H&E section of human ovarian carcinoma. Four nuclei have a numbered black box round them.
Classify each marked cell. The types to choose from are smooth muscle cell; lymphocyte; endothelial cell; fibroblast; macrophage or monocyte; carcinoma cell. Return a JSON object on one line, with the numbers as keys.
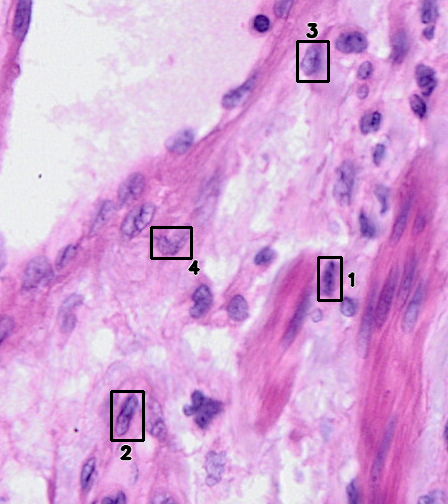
{"1": "macrophage or monocyte", "2": "endothelial cell", "3": "fibroblast", "4": "fibroblast"}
